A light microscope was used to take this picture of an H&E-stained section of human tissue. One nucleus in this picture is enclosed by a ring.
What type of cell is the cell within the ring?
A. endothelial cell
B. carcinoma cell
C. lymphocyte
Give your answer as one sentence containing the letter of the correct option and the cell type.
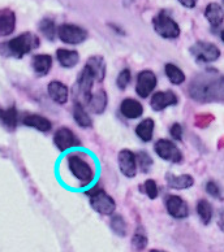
Among the choices, option C is correct, the cell within the ring being a lymphocyte.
